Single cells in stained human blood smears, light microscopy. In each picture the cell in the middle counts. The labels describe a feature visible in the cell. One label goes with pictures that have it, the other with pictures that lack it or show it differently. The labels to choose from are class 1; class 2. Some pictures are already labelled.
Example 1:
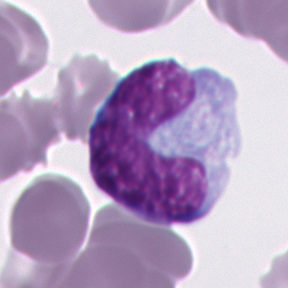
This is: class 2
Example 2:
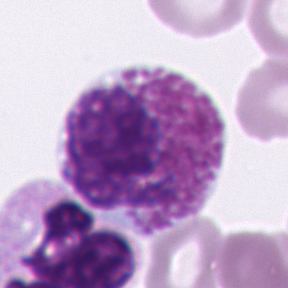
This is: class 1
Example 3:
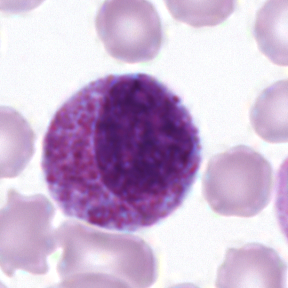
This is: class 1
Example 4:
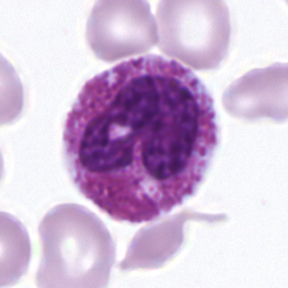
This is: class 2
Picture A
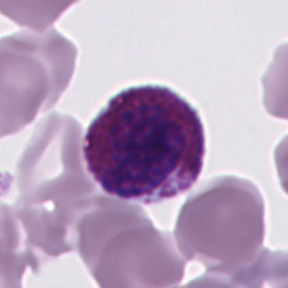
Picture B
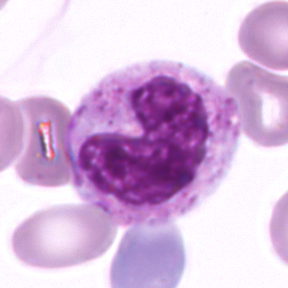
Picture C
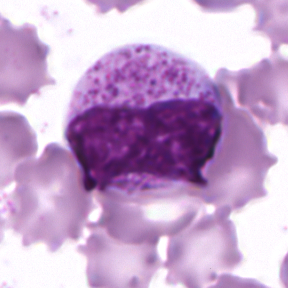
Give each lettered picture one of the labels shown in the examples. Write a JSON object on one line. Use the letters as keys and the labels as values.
{"A": "class 1", "B": "class 2", "C": "class 2"}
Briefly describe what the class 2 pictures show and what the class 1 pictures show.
class 2: band-shaped nucleus; class 1: round or oval nucleus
